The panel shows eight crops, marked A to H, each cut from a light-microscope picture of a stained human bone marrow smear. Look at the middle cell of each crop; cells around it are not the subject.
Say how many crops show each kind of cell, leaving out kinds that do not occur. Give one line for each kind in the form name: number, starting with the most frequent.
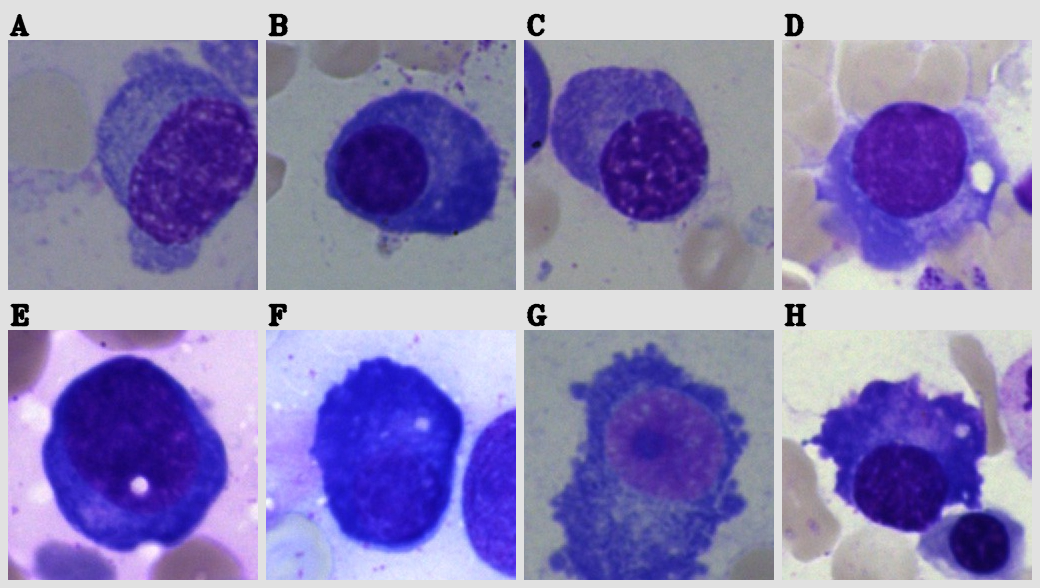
plasma cell: 7
proerythroblast: 1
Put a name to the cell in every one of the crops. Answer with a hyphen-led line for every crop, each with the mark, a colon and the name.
- A: plasma cell
- B: plasma cell
- C: plasma cell
- D: plasma cell
- E: proerythroblast
- F: plasma cell
- G: plasma cell
- H: plasma cell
